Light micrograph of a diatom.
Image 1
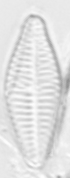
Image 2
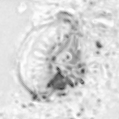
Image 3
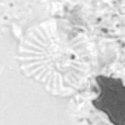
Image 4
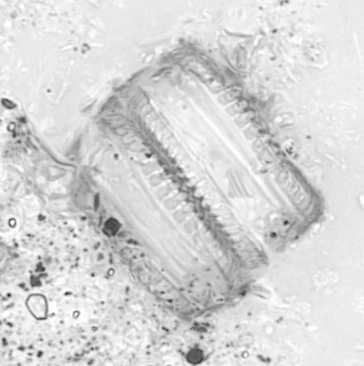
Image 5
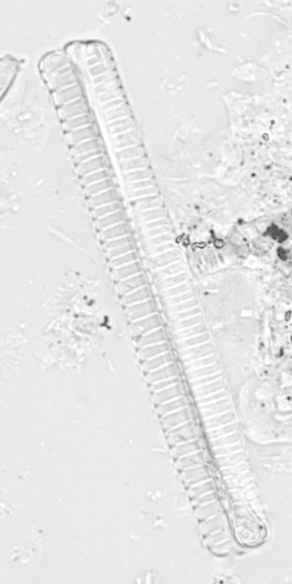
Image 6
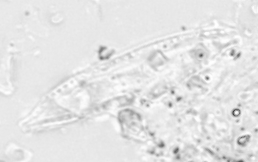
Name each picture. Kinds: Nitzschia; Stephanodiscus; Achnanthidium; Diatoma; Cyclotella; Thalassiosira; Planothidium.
1. Planothidium
2. Cyclotella
3. Stephanodiscus
4. Cyclotella
5. Diatoma
6. Nitzschia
